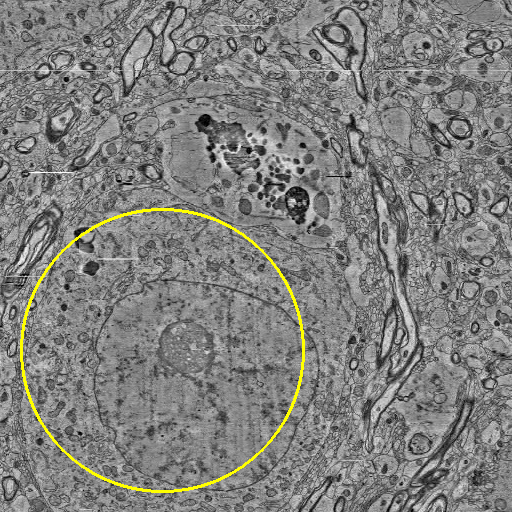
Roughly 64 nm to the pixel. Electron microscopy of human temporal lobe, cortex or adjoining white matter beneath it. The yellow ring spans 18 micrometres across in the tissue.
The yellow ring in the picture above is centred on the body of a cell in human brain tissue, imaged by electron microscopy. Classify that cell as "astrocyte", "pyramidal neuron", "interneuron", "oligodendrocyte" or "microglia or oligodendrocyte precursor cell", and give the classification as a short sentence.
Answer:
The cell in the middle of the ring is a pyramidal neuron.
